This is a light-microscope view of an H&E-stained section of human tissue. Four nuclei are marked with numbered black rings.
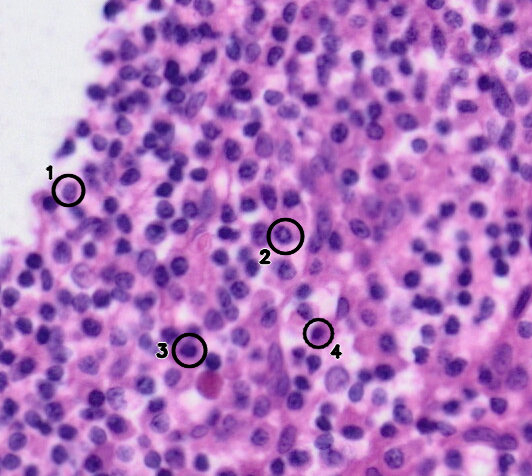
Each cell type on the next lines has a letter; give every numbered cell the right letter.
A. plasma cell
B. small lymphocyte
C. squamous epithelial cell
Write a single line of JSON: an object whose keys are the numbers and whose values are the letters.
{"1": "B", "2": "A", "3": "A", "4": "A"}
